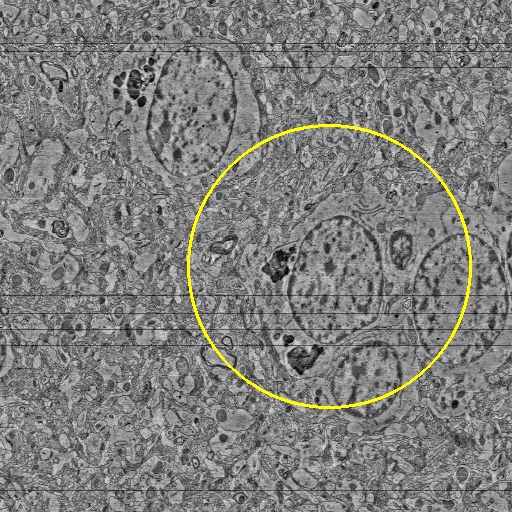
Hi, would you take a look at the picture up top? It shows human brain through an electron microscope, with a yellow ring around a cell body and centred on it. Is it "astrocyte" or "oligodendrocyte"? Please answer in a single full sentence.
The best fit for the cell in the middle of the ring is an astrocyte, I reckon.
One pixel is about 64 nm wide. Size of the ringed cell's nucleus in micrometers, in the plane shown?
About 8 by 6 micrometres in this plane.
